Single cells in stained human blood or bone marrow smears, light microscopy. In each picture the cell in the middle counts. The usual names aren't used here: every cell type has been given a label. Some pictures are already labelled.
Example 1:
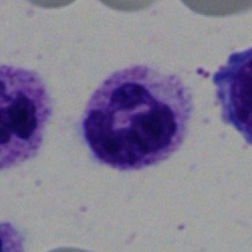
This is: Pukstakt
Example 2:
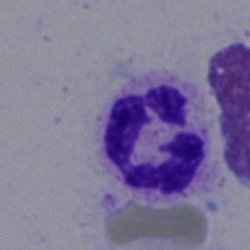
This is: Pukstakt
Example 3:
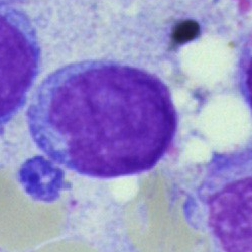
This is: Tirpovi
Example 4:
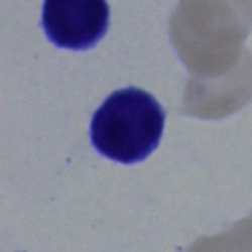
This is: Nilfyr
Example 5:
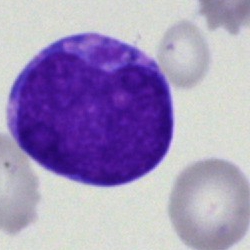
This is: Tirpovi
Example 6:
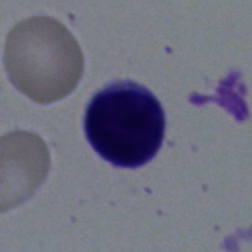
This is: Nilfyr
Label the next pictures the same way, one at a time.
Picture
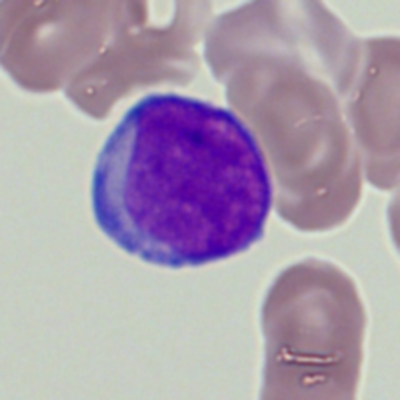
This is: Tirpovi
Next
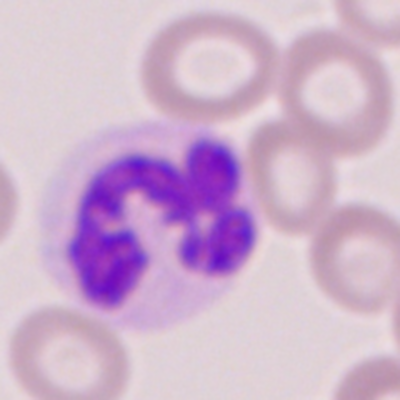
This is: Pukstakt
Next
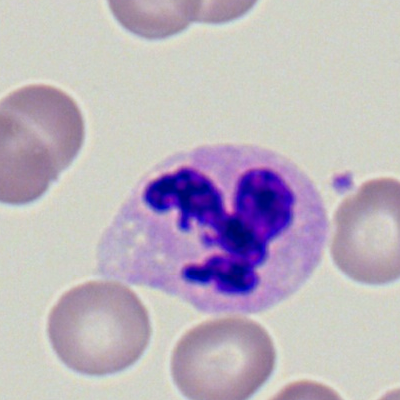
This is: Pukstakt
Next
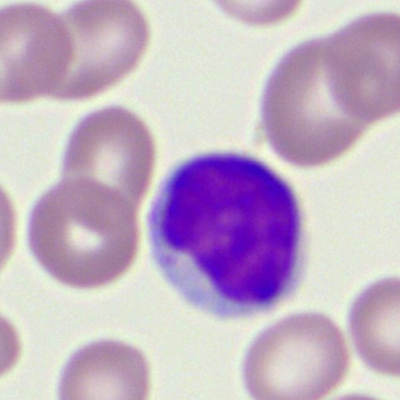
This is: Nilfyr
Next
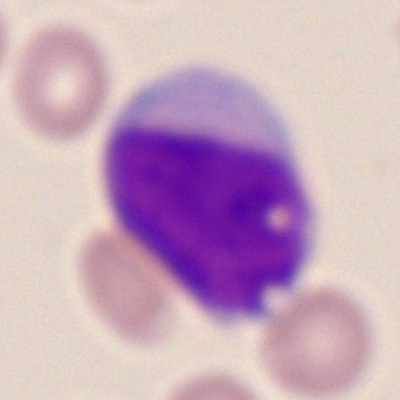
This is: Tirpovi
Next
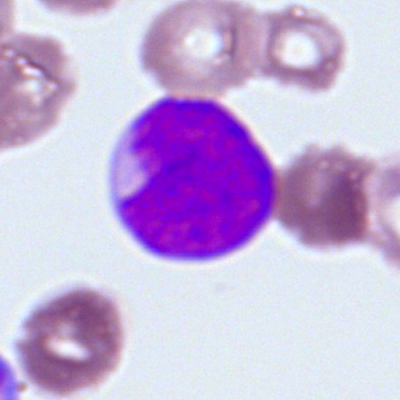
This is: Tirpovi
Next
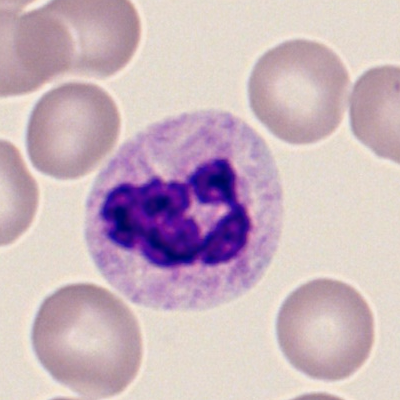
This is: Pukstakt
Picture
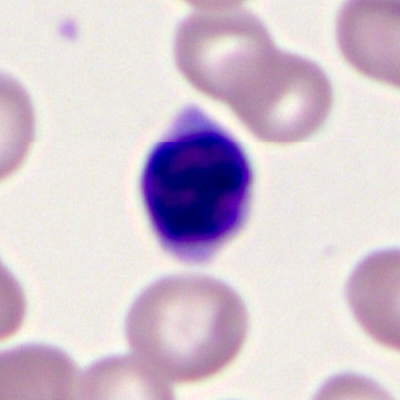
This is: Nilfyr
